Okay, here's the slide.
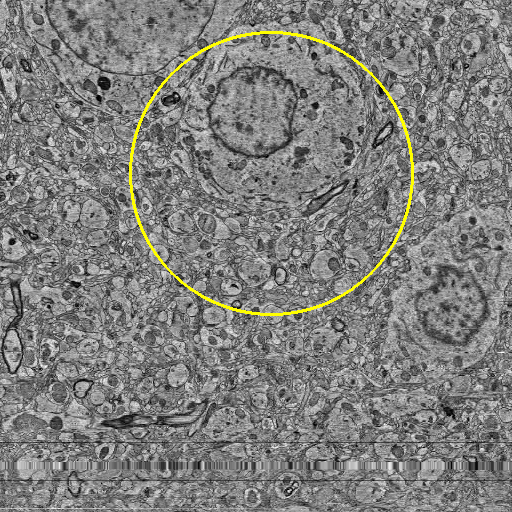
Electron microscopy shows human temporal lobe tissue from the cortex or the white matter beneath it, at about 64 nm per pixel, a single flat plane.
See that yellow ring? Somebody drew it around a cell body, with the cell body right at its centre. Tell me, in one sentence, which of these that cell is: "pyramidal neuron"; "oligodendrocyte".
The cell in the middle of the ring is a pyramidal neuron.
